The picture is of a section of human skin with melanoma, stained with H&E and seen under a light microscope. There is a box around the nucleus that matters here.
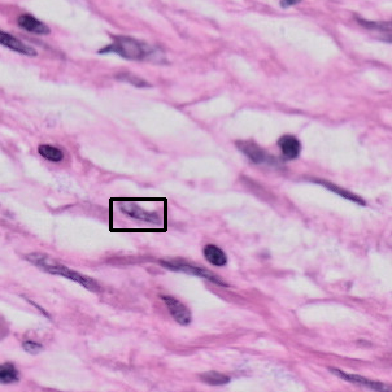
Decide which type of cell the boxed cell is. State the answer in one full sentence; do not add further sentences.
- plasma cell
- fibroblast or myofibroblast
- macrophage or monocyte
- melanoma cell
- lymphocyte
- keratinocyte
Cell type answer for this item: the boxed cell is a fibroblast or myofibroblast.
